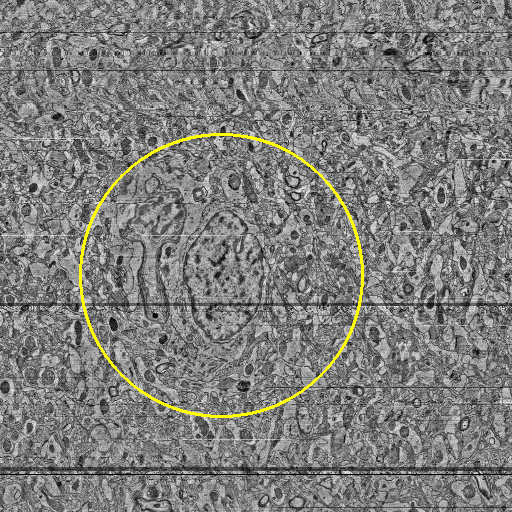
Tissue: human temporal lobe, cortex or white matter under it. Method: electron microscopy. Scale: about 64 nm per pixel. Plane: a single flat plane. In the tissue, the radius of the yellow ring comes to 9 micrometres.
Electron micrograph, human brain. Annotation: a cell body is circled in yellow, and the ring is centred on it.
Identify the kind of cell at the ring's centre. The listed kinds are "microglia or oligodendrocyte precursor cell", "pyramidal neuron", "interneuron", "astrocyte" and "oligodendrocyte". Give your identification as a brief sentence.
The circled cell body is that of a microglial cell or oligodendrocyte precursor cell.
